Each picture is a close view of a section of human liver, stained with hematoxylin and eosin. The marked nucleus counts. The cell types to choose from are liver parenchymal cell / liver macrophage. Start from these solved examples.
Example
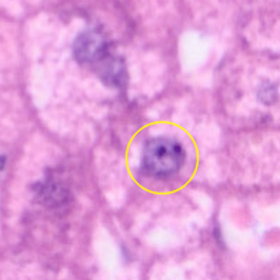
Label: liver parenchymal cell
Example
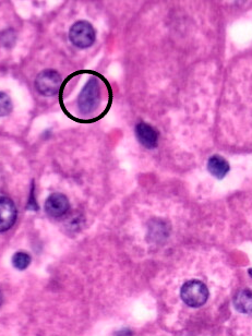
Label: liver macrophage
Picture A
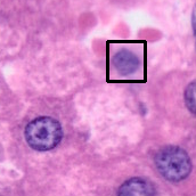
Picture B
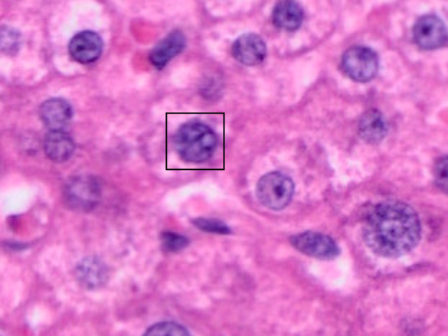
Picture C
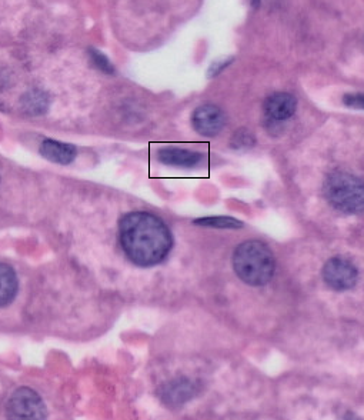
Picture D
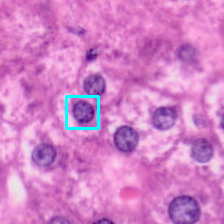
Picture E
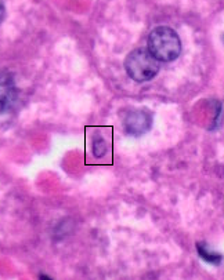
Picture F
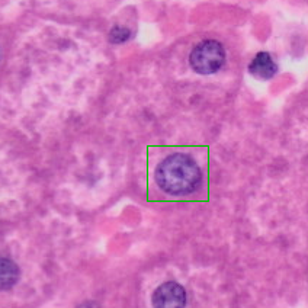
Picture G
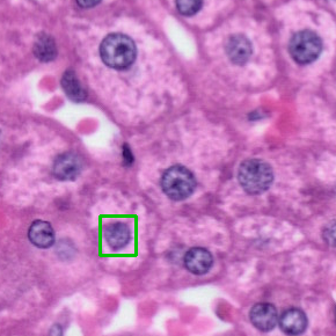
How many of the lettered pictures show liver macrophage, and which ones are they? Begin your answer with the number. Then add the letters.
Count: 3 (A, C, E)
